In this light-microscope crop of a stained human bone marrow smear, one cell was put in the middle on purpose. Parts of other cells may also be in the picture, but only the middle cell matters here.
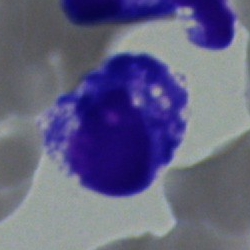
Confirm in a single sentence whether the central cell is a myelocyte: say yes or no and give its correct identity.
No, the cell of interest here is a blast and not a myelocyte.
